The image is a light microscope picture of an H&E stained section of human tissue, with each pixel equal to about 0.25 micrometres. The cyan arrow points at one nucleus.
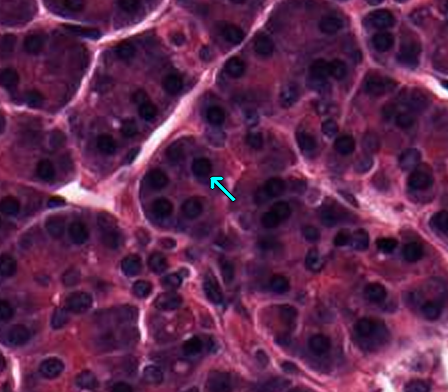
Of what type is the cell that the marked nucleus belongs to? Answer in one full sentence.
As shown, the marked nucleus belongs to a pancreatic acinar cell.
